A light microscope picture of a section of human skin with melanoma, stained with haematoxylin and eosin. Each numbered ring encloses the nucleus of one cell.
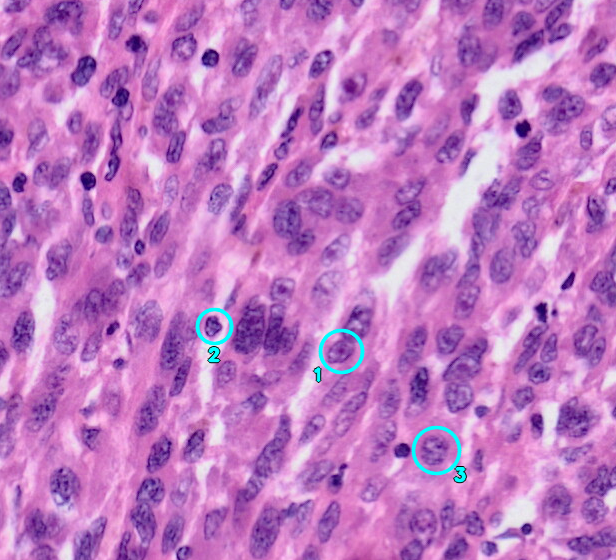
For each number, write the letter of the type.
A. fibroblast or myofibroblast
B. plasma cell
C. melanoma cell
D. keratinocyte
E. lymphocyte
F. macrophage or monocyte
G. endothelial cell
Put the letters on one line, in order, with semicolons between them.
C; E; C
